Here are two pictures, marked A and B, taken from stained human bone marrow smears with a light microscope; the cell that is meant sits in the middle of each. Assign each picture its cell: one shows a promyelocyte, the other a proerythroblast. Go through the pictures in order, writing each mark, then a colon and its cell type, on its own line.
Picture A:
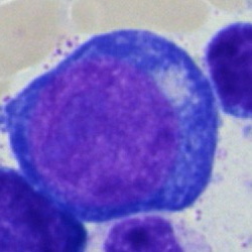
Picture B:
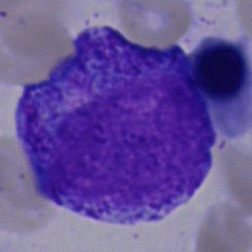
A: proerythroblast
B: promyelocyte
